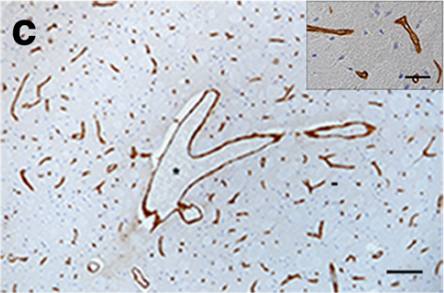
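Brain tissue with vessel walls outlined in brown and pale blue nuclei scattered in a light neuropil. A large branching vessel in the centre has a widely dilated lumen with a thin brown wall, surrounded by many small capillary profiles cut lengthwise and across. An inset at higher magnification shows capillaries with thick brown walls and narrow lumens.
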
